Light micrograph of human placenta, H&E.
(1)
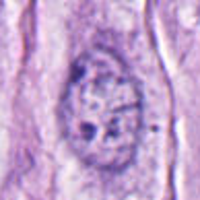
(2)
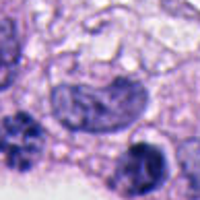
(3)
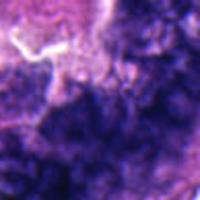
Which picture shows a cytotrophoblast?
Picture 2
